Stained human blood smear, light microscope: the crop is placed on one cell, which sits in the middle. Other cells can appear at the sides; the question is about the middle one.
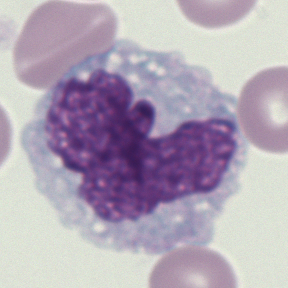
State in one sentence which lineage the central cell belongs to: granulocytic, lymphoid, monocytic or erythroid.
The cell in the middle of the crop belongs to the monocytic lineage.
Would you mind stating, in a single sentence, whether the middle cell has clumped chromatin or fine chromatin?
No coarse chromatin clumps are present; the pattern is fine.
